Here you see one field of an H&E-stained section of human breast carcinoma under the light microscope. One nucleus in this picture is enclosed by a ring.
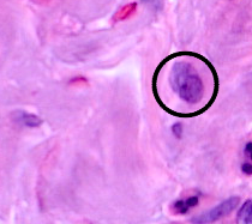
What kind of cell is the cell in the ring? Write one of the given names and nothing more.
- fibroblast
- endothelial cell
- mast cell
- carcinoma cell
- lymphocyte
fibroblast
